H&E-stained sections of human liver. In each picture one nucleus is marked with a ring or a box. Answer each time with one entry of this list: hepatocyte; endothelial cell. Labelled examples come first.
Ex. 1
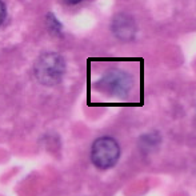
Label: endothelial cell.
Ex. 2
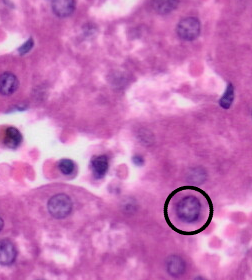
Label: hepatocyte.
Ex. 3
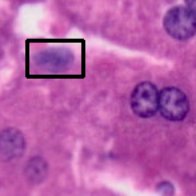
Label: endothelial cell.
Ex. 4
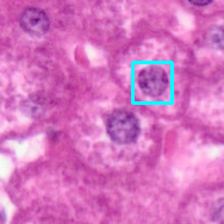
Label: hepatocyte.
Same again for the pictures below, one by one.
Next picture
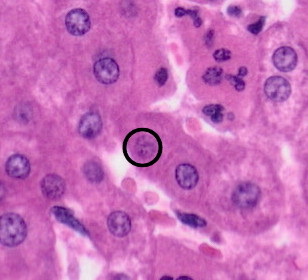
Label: hepatocyte.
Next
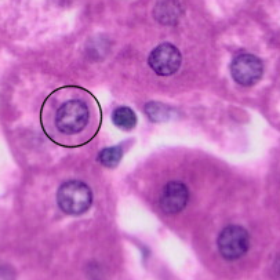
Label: hepatocyte.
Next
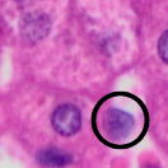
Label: endothelial cell.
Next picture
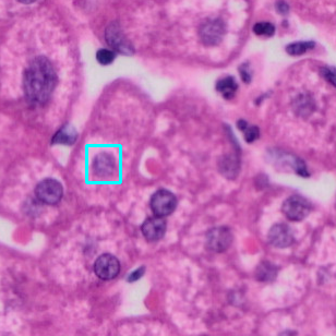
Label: hepatocyte.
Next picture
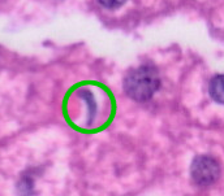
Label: endothelial cell.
